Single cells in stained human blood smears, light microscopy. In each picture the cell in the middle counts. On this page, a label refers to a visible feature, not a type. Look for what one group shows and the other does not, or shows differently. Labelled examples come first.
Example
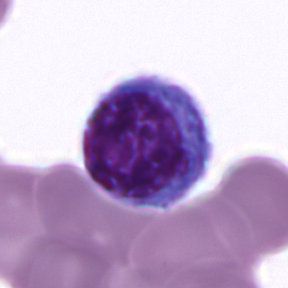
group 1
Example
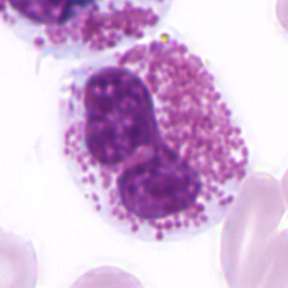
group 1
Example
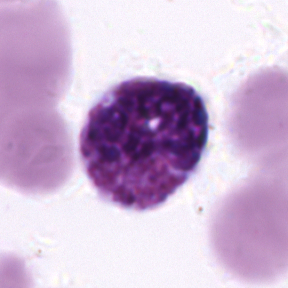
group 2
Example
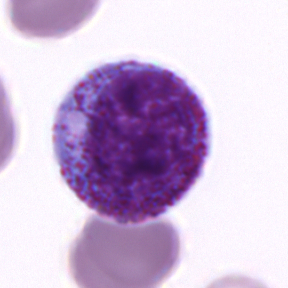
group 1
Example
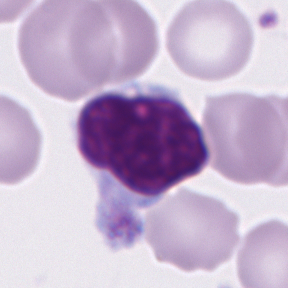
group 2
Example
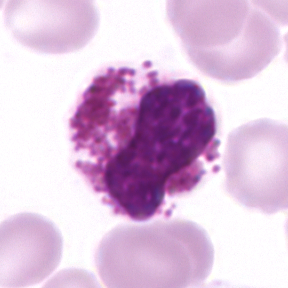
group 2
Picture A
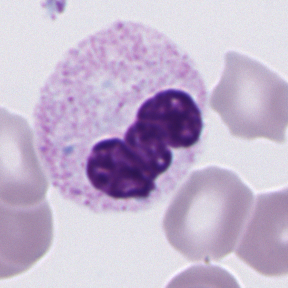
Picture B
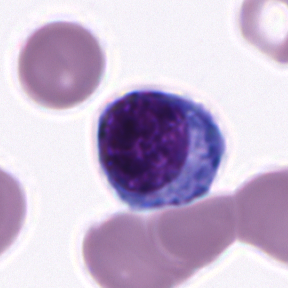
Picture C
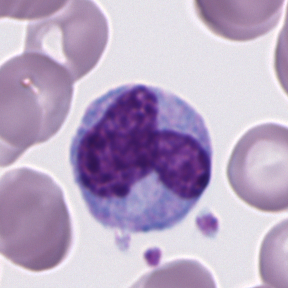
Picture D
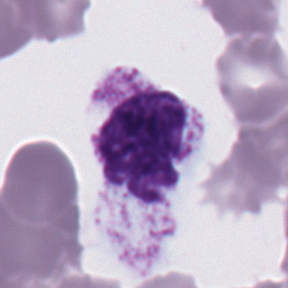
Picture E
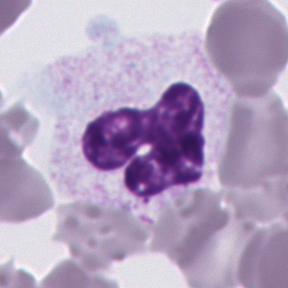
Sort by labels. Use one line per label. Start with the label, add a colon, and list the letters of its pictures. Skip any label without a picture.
group 1: A, B, C
group 2: D, E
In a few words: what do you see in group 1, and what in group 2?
Seen in group 1: smooth outline; seen in group 2: ragged outline or projections.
